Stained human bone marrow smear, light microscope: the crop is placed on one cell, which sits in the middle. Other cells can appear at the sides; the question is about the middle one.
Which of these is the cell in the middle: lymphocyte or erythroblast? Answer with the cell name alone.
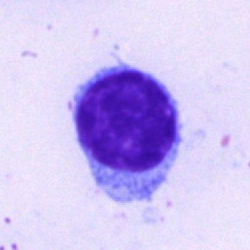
lymphocyte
